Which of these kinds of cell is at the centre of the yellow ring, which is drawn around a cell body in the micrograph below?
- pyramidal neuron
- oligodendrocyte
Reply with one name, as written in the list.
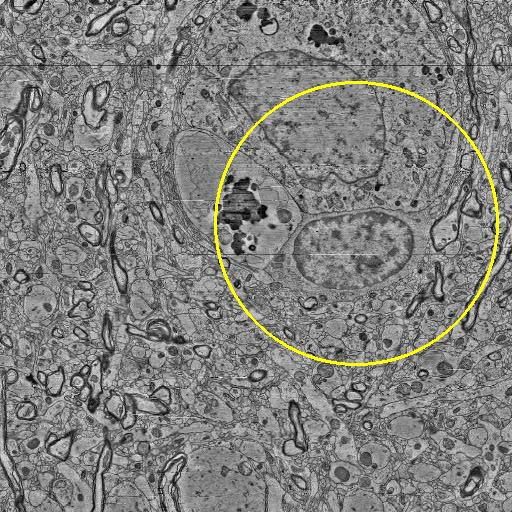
oligodendrocyte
